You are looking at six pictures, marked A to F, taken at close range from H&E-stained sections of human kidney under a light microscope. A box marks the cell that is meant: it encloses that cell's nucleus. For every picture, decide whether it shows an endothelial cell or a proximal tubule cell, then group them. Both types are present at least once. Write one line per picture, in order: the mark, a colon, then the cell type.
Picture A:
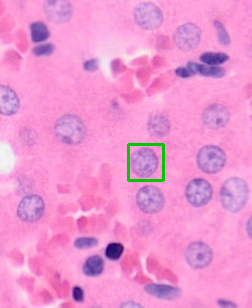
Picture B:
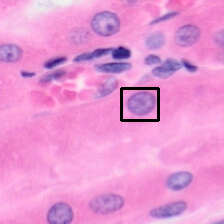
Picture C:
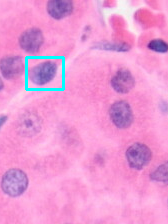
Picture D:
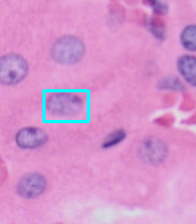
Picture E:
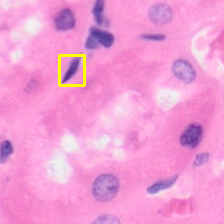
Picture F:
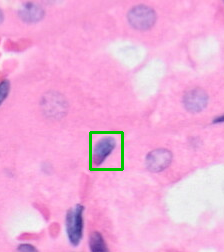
A: proximal tubule cell
B: proximal tubule cell
C: endothelial cell
D: proximal tubule cell
E: endothelial cell
F: endothelial cell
